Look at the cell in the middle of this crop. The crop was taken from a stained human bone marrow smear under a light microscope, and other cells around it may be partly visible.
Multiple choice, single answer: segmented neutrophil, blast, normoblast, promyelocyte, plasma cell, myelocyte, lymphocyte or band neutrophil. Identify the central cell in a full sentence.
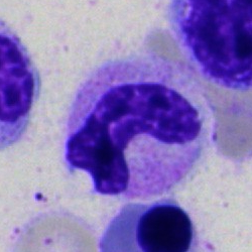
The central cell, amid any neighbouring cells, is a band neutrophil.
